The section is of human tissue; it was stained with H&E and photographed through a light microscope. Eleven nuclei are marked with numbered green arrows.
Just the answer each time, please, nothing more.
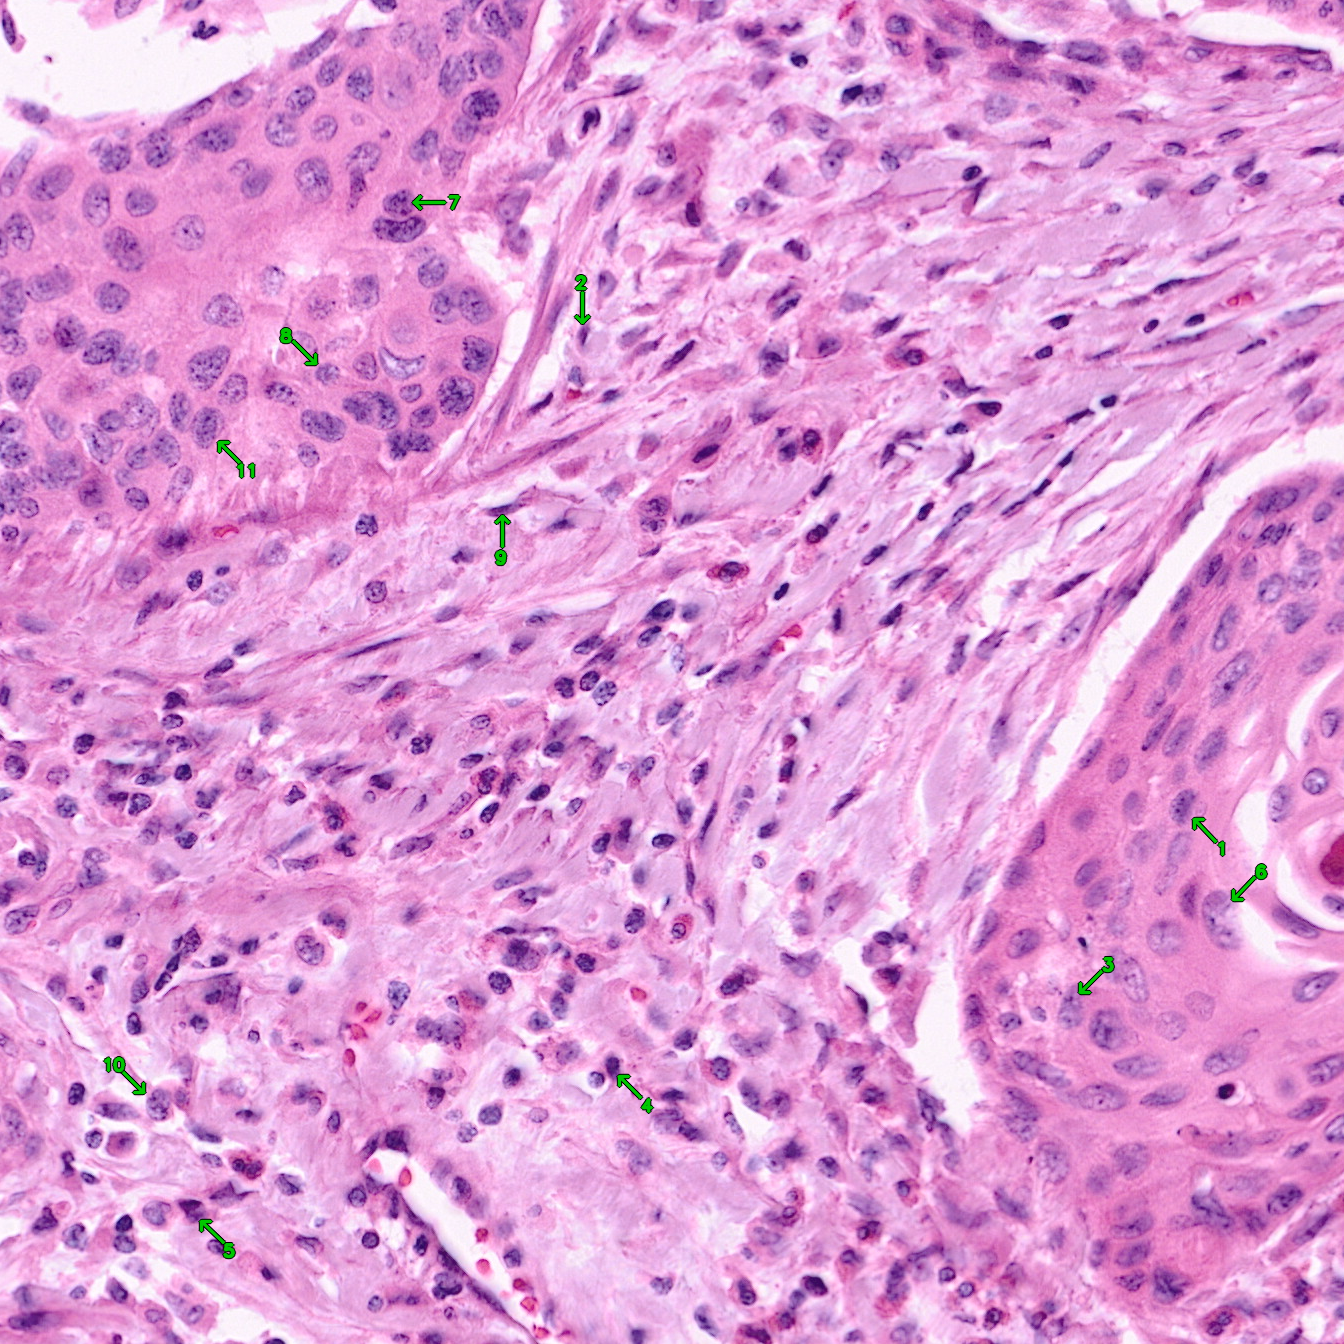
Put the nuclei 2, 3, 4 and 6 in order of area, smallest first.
2, 4, 3, 6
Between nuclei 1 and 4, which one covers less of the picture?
4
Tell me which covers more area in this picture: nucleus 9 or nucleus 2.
9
